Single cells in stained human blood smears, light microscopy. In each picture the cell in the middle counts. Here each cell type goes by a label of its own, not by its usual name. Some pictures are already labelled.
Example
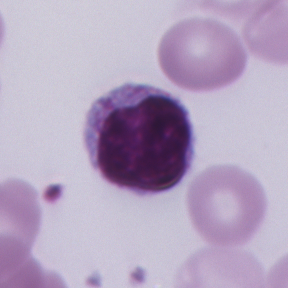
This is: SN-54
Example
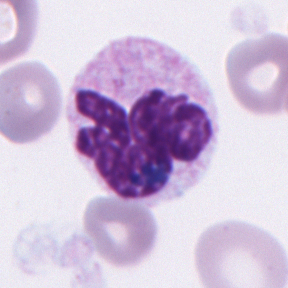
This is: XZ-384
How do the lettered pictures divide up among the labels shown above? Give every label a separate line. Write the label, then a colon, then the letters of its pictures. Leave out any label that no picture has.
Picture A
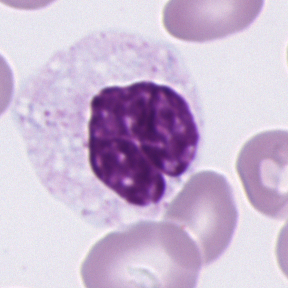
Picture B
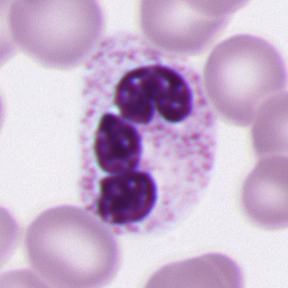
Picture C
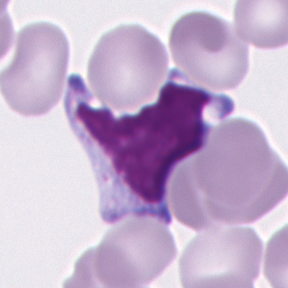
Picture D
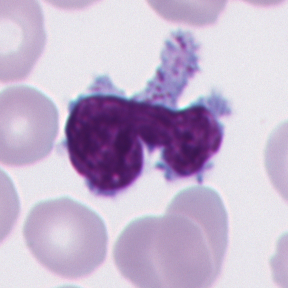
SN-54: C, D
XZ-384: A, B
